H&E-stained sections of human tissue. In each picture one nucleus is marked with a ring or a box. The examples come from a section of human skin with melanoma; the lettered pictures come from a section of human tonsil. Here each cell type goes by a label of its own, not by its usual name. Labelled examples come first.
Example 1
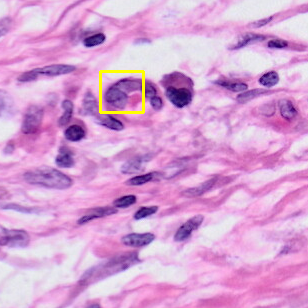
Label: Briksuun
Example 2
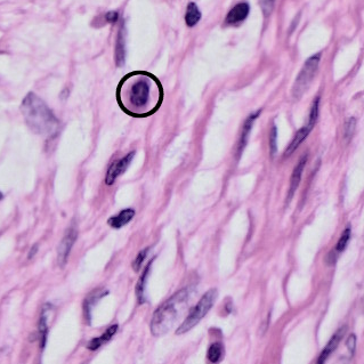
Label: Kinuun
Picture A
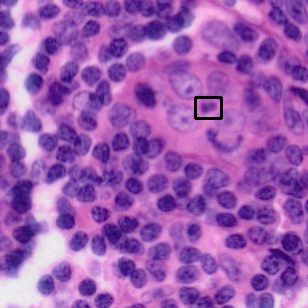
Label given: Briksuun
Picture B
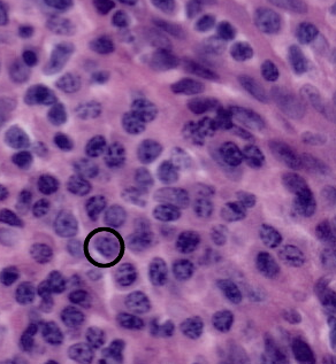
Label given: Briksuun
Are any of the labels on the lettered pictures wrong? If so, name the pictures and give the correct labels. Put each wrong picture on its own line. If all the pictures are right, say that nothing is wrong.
B should be Kinuun, not Briksuun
